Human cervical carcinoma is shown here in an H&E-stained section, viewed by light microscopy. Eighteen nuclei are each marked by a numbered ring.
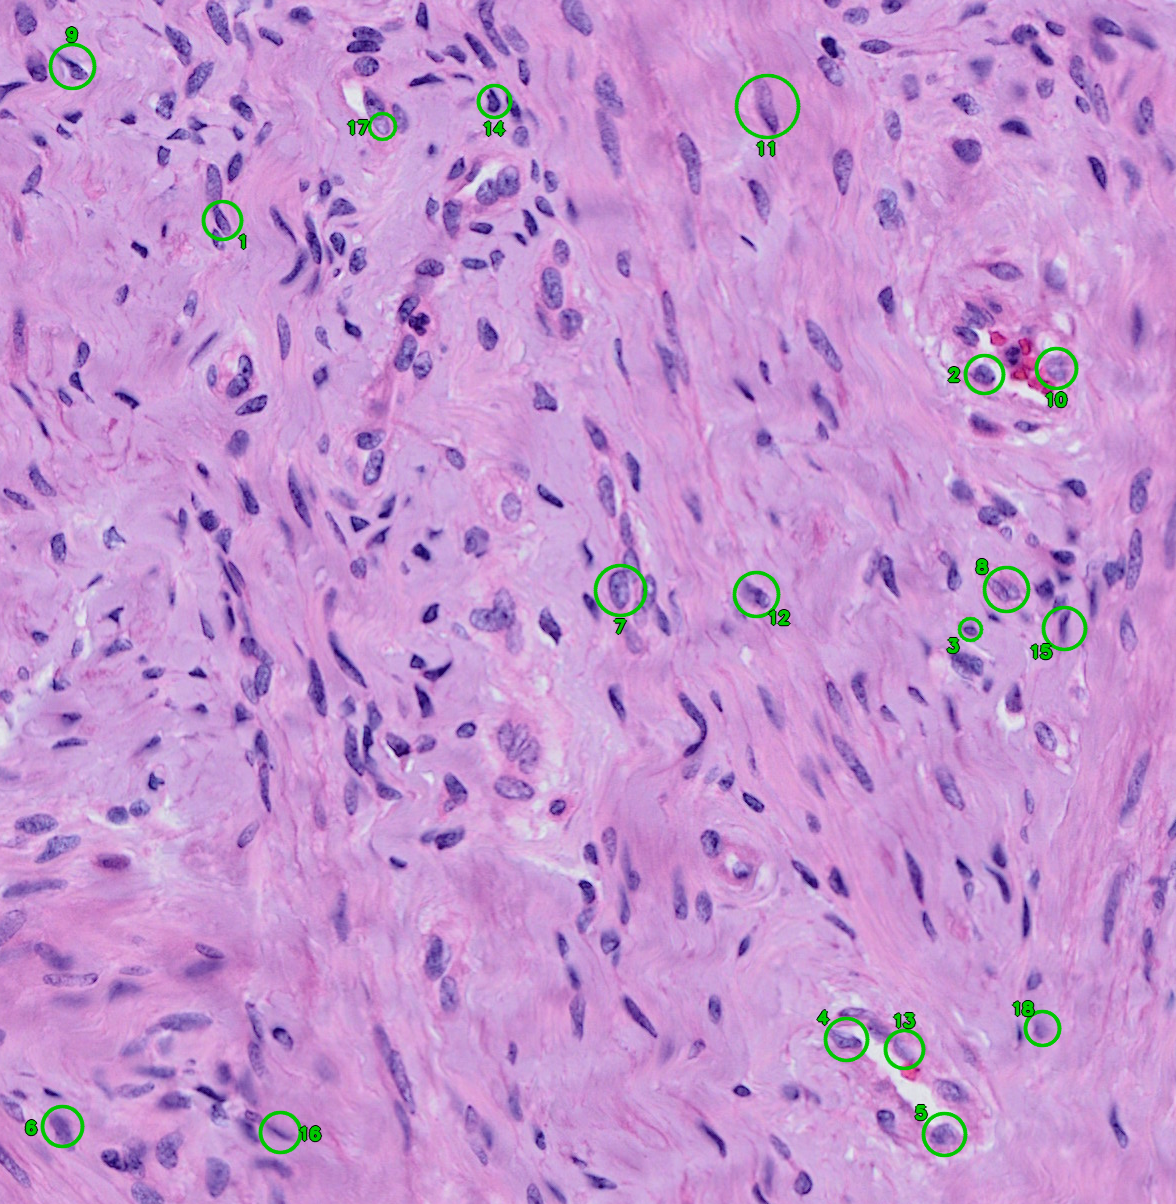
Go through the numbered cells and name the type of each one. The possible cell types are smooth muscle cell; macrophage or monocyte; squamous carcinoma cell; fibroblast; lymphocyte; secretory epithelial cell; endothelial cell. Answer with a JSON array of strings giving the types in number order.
["fibroblast", "endothelial cell", "fibroblast", "endothelial cell", "endothelial cell", "fibroblast", "endothelial cell", "endothelial cell", "fibroblast", "endothelial cell", "fibroblast", "fibroblast", "endothelial cell", "fibroblast", "fibroblast", "fibroblast", "endothelial cell", "fibroblast"]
